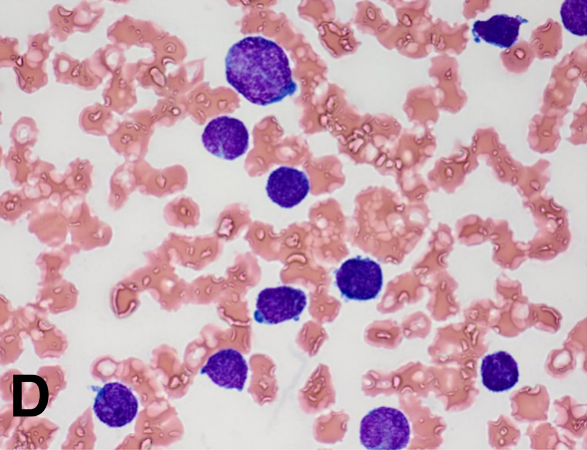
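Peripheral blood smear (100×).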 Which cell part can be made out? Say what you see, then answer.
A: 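Some nucleated cells show small projections of blue cytoplasm from one side. The projections extend beyond the otherwise round cell outline. So: cytoplasmic pseudopods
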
